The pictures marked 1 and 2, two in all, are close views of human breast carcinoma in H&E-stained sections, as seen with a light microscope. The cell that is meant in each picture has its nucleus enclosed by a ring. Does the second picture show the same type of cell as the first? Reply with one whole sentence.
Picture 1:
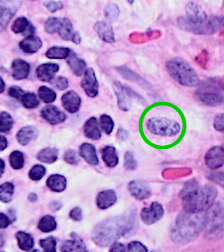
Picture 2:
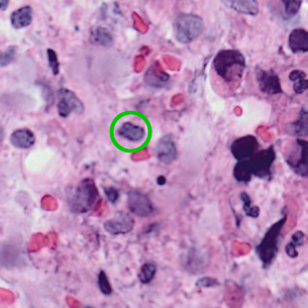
Yes, they are the same type: both are mast cells.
